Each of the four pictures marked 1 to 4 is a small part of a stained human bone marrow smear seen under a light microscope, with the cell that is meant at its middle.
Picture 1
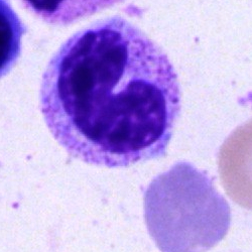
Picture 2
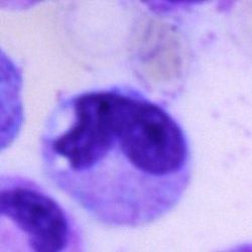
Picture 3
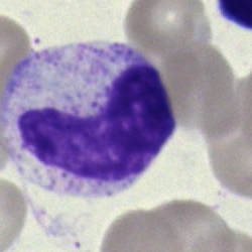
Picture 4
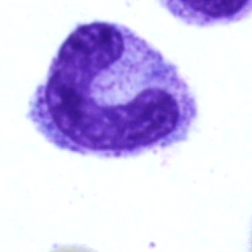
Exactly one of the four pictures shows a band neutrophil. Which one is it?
4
